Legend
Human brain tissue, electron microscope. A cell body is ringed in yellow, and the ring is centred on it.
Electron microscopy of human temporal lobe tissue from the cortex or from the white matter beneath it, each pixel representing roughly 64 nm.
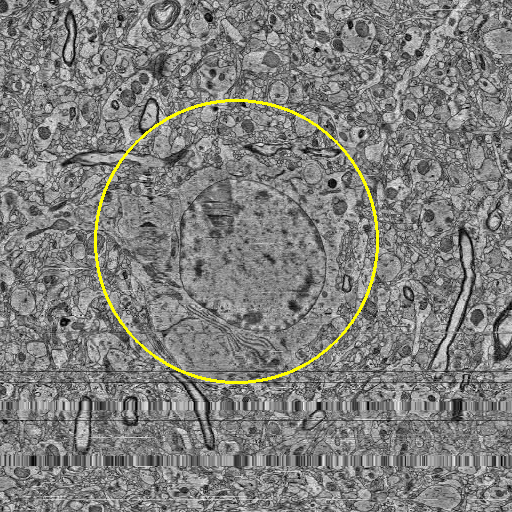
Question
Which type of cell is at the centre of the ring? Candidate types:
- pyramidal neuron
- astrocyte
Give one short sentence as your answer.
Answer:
The yellow ring is centred here on an astrocyte.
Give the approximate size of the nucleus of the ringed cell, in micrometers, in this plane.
About 10 micrometers across, in this plane.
